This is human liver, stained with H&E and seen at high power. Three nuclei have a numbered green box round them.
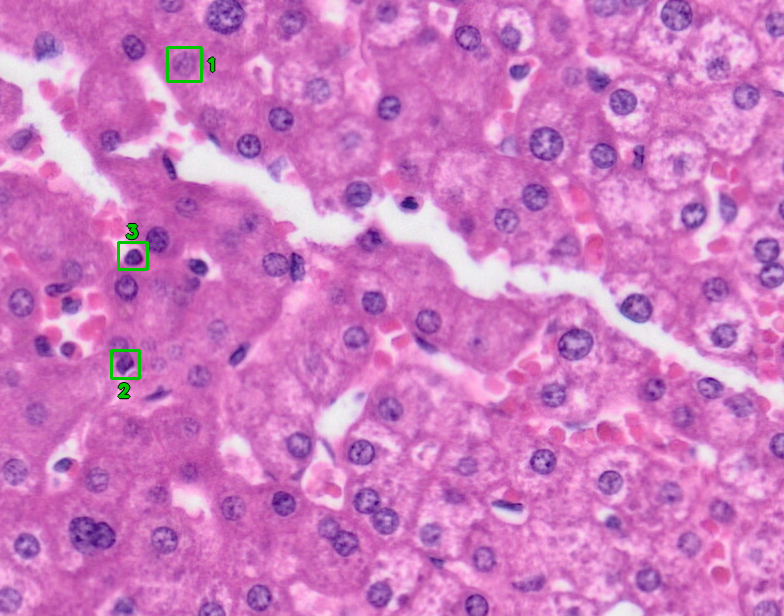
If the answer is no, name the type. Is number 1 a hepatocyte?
Yes.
